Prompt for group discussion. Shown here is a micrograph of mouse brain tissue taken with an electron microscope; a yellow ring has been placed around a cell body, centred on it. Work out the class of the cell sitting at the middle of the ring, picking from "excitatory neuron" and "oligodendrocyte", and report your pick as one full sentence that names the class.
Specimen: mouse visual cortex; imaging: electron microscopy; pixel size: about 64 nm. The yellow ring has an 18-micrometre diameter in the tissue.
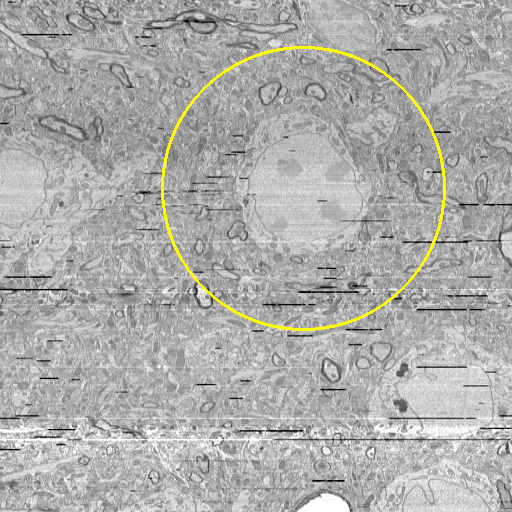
The cell sitting at the middle of the yellow ring is an excitatory neuron.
